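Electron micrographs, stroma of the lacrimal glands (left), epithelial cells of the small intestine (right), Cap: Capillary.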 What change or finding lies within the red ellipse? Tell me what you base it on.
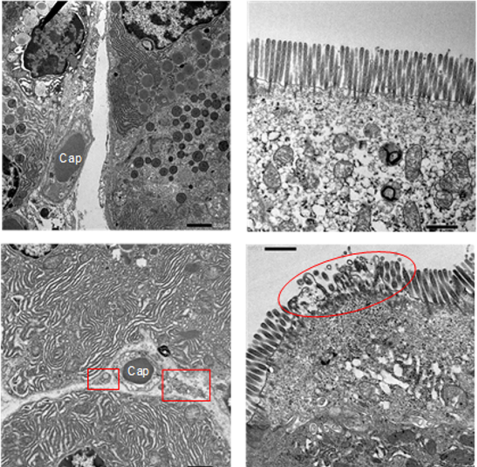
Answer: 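Microvilli were demolished. Inside the red ellipse the projections of the apical border are short, irregular and disordered. Next to the ellipse the brush border consists of long, parallel, regular projections.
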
